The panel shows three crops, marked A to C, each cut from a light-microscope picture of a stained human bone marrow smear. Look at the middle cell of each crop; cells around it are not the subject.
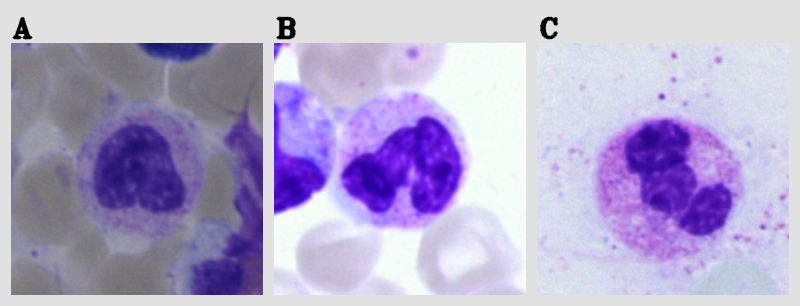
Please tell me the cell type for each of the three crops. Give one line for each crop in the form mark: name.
A: band neutrophil
B: segmented neutrophil
C: segmented neutrophil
